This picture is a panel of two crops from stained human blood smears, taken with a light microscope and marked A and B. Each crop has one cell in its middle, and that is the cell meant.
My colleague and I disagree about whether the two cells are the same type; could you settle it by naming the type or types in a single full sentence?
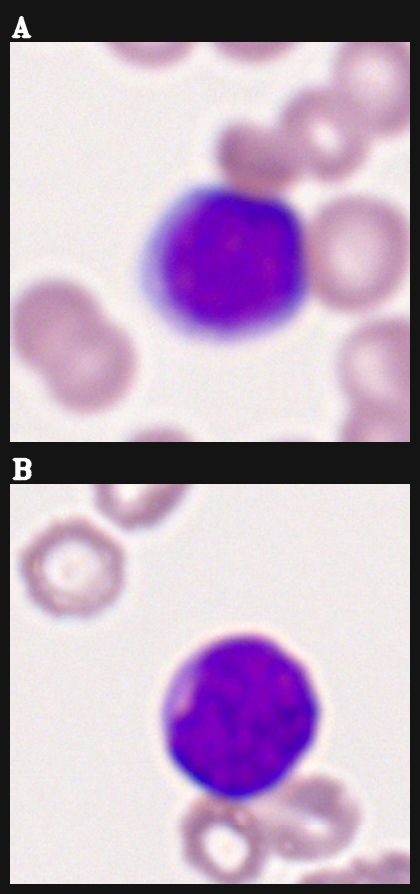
No, crop A and crop B contain, respectively, a lymphocyte and a myeloblast.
